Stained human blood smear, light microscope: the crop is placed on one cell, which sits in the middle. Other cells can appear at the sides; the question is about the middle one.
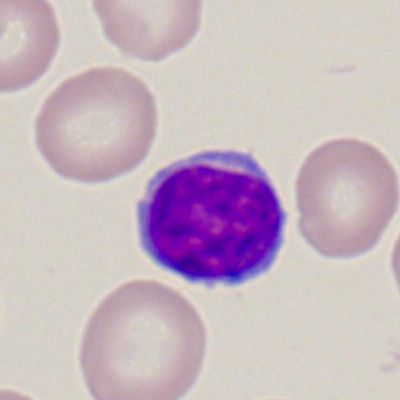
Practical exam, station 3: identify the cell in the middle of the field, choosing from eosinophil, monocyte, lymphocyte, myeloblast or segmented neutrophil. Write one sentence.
Positioned in the middle of the crop is a lymphocyte.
